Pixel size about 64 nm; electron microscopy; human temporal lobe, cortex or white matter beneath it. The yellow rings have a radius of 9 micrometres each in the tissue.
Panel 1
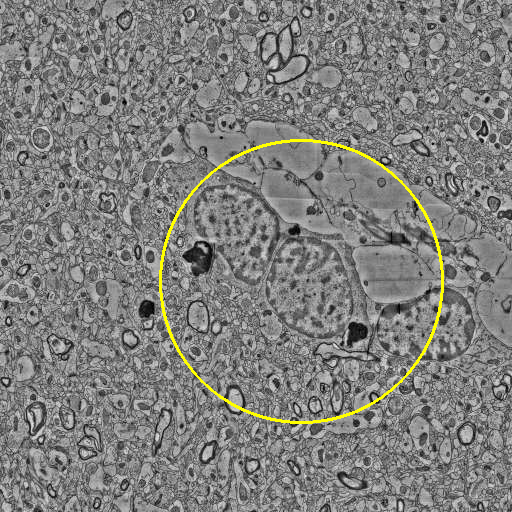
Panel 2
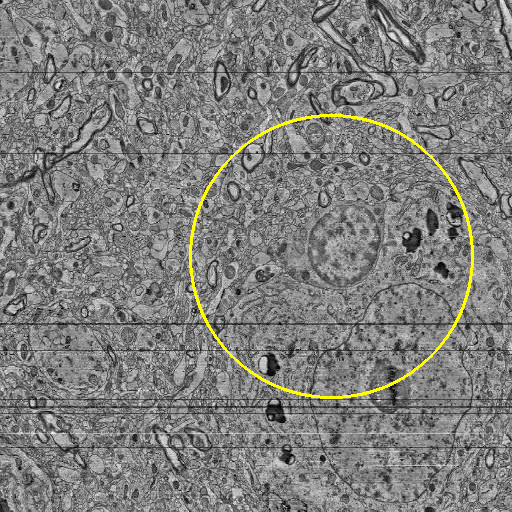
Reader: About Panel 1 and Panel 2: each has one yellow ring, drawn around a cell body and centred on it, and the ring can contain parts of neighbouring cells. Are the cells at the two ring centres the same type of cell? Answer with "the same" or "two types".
the same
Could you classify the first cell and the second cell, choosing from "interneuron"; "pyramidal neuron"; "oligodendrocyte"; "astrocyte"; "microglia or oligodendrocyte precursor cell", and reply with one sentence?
Each of the two rings is centred on an oligodendrocyte.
